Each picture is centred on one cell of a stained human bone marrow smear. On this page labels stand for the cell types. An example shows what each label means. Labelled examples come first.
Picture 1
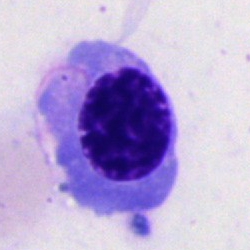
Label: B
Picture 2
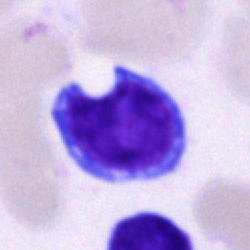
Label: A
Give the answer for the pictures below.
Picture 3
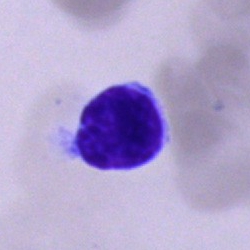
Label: A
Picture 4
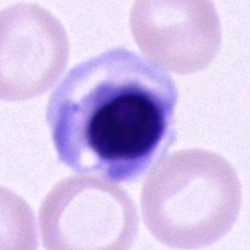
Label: B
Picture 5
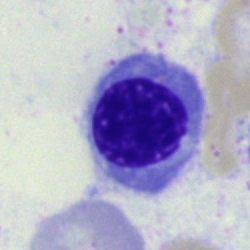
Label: B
